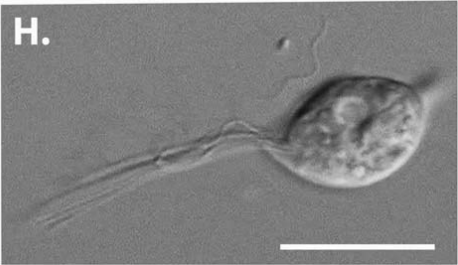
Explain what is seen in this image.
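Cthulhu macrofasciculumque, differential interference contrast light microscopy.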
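A rounded, granular cell body is seen in relief with a short pointed projection at one side. From the other side a long bundle of fine flagella extends as a single tight band, only slightly frayed at its far end.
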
